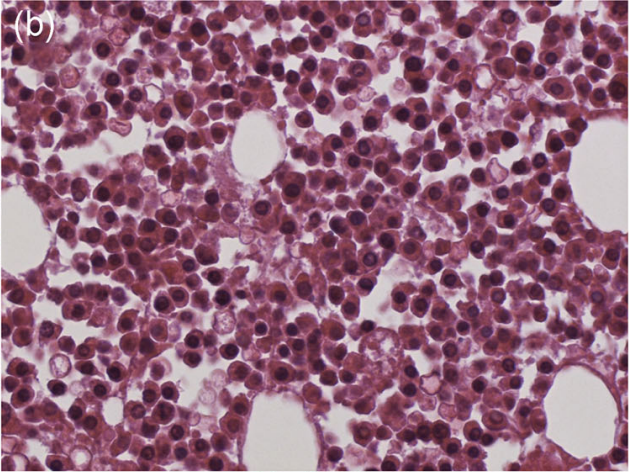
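This is bone marrow almost wholly filled by a monotonous population of plasma cells. The cells lie in dense sheets with little space between them and only a few round empty fat spaces. They are round to oval, of fairly even size, with round, dark purple nuclei set off to one side of the cell. Each nucleus is surrounded by a generous rim of pink to purplish cytoplasm, and some cells show a paler zone beside the nucleus. Other marrow elements, such as maturing red or white cell precursors, are hardly to be found among them.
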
